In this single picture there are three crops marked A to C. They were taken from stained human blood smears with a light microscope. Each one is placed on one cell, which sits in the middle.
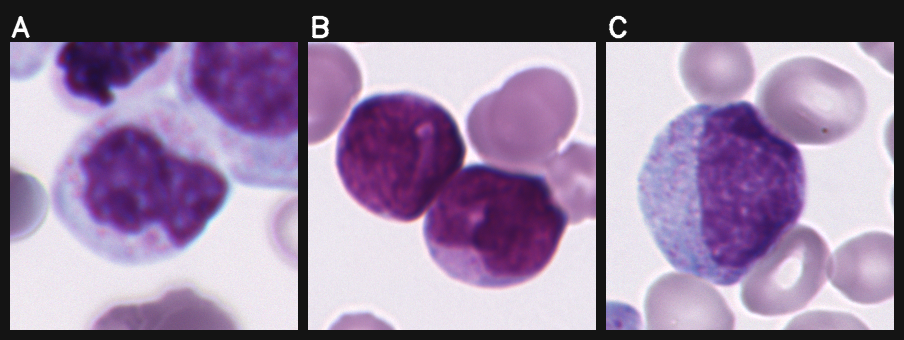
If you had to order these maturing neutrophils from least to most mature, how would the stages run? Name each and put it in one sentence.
The maturation order, from least to most mature, is crop B (a myeloblast), crop C (a promyelocyte) and crop A (a band neutrophil).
